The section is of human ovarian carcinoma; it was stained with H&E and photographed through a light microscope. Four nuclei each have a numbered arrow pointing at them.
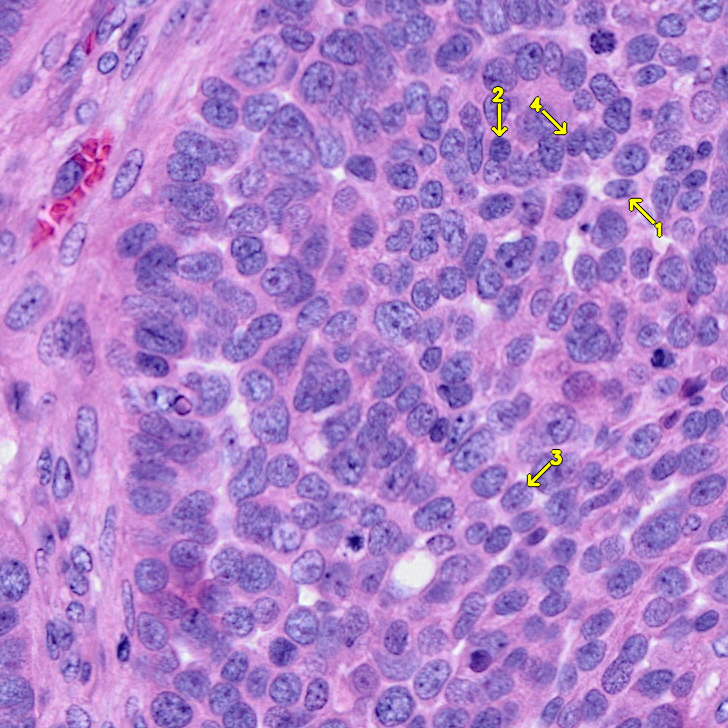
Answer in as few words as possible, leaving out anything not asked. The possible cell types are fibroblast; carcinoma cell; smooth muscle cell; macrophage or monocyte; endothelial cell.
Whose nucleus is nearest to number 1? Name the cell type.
carcinoma cell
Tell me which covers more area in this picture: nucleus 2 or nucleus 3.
3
